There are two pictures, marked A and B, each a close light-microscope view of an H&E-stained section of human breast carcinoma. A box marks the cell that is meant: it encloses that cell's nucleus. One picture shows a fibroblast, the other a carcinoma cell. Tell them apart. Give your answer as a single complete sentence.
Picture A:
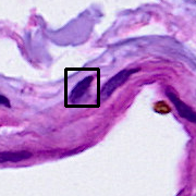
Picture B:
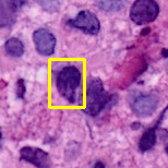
The cell in picture A is a fibroblast, and the one in picture B is a carcinoma cell.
